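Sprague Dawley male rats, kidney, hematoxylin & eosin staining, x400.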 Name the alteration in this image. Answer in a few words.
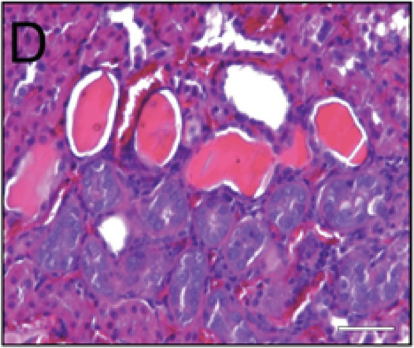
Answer: Dilatation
